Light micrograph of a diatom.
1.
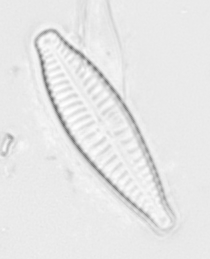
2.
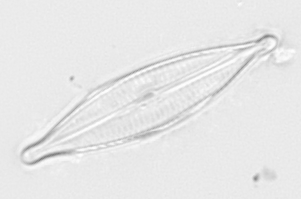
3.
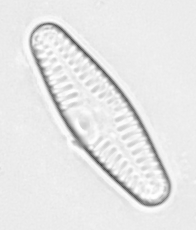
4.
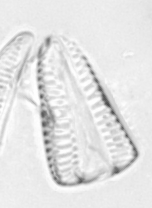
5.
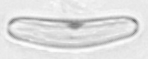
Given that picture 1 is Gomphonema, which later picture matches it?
4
